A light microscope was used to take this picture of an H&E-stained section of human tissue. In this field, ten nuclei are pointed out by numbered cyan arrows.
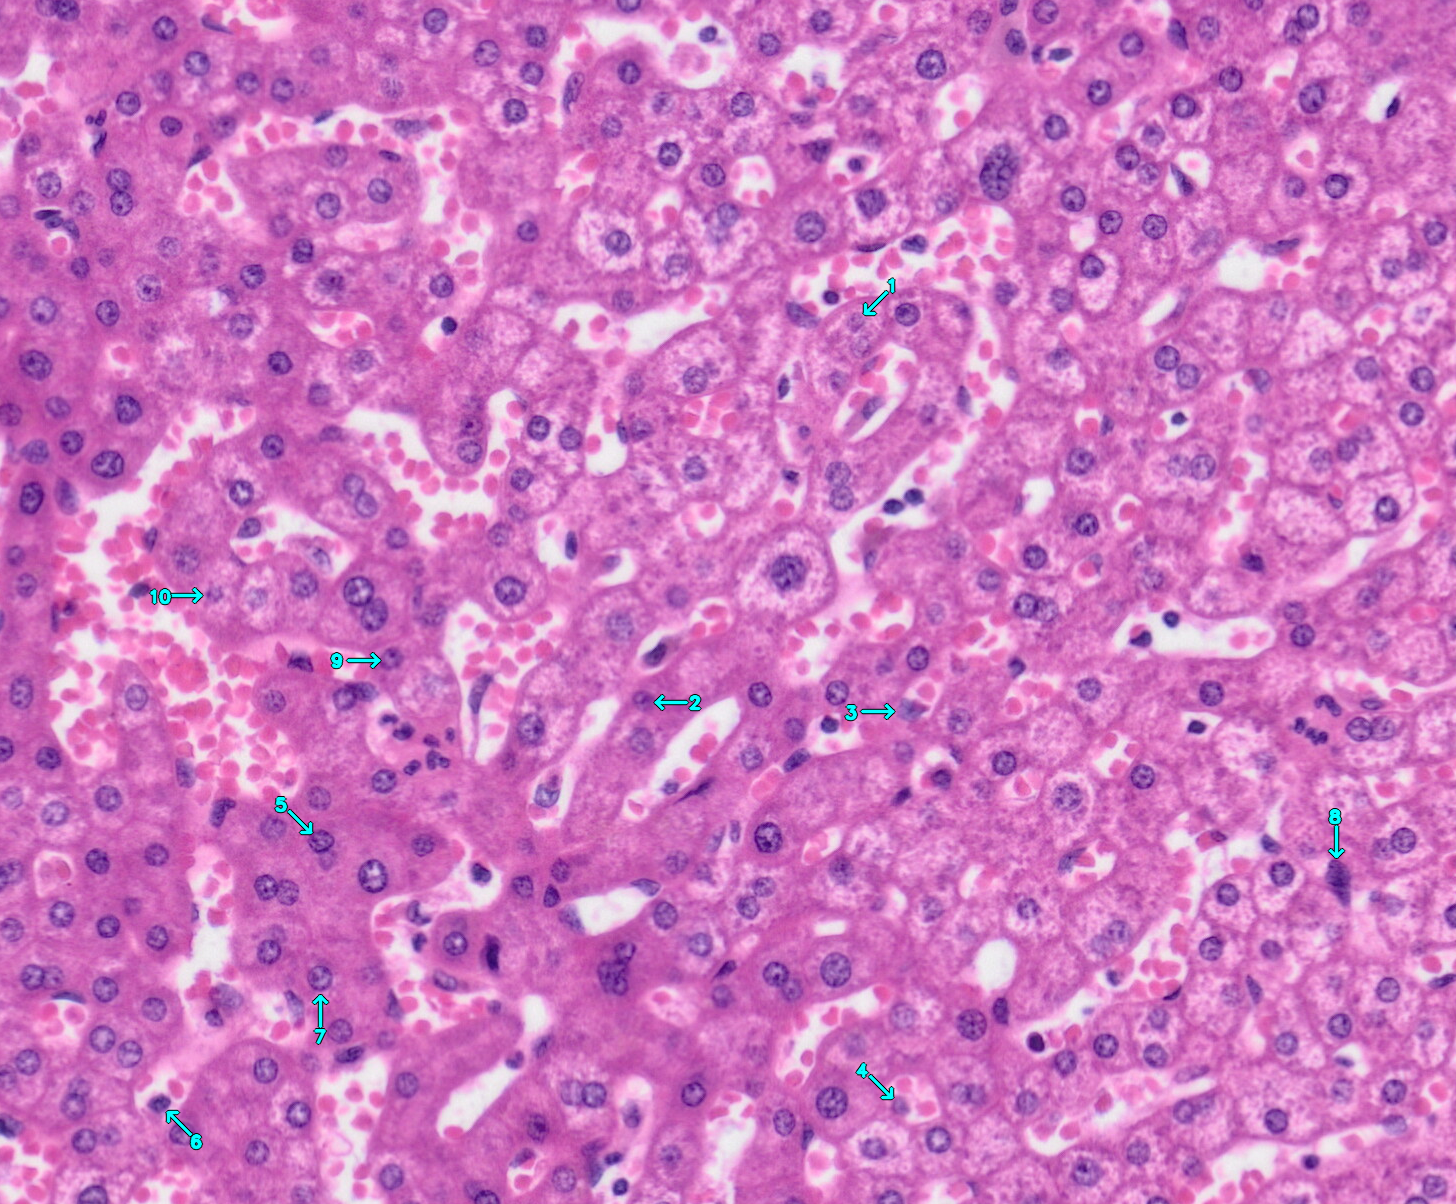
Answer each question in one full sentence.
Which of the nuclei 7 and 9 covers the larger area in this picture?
Nucleus 7 is larger, with an area about 1.5 times that of nucleus 9.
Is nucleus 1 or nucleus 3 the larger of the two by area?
Number 3 is larger; its area is about 1.5 times that of number 1.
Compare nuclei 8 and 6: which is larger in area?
Nucleus 8 is larger, with an area about 2 times that of nucleus 6.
